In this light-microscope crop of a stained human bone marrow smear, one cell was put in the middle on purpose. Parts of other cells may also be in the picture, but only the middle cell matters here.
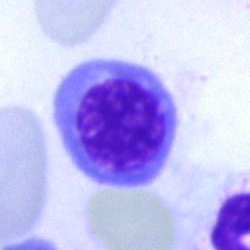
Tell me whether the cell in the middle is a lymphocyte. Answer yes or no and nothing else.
no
